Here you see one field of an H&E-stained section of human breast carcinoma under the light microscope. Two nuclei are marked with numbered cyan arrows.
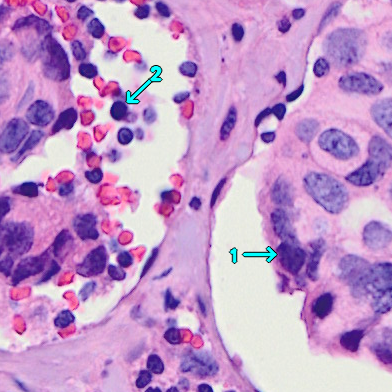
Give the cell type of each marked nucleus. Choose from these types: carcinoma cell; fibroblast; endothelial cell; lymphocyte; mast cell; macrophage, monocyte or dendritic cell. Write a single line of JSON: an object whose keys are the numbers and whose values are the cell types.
{"1": "carcinoma cell", "2": "lymphocyte"}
